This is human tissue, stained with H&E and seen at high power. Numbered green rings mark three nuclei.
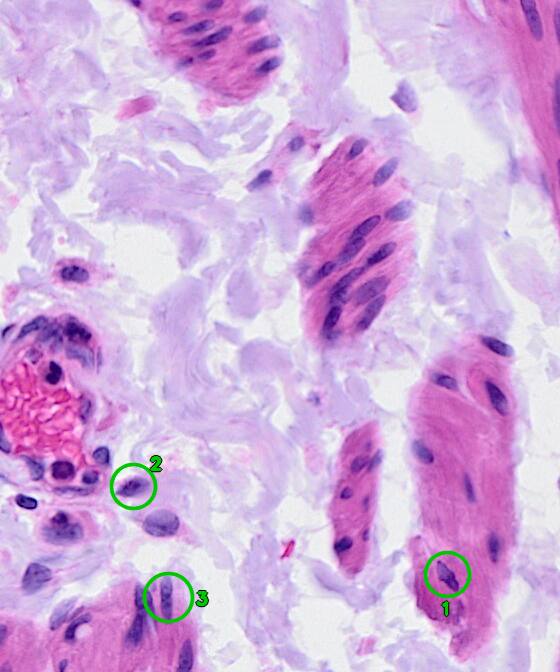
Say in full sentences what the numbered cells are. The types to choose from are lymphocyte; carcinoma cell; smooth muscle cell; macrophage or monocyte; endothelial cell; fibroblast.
Cell 1 is a smooth muscle cell, cell 2 is a fibroblast and cell 3 is a smooth muscle cell.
